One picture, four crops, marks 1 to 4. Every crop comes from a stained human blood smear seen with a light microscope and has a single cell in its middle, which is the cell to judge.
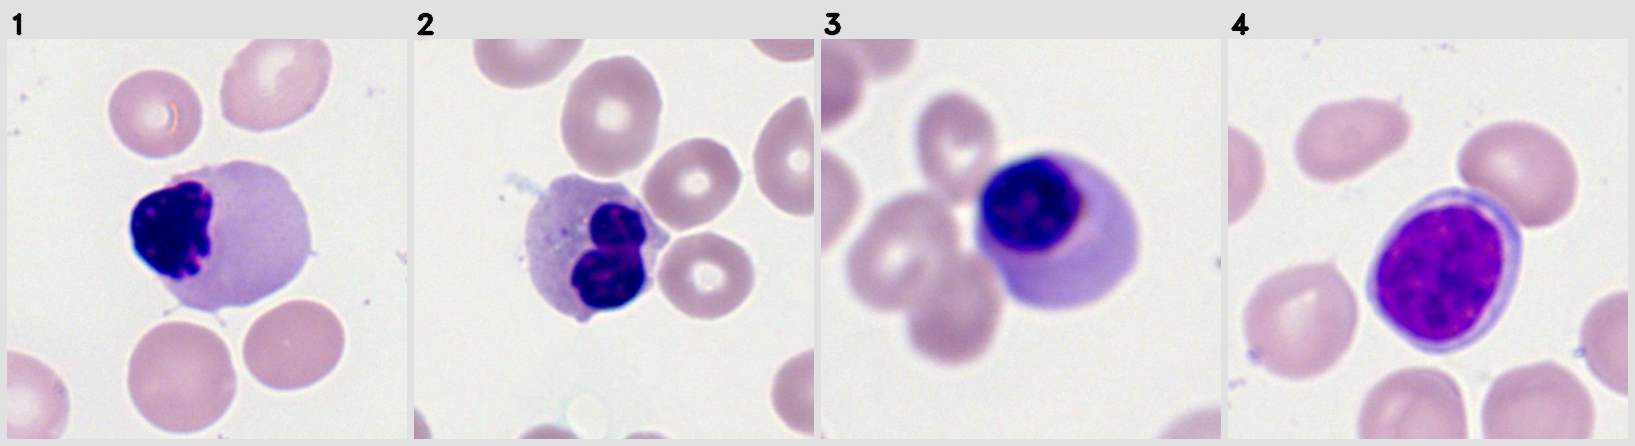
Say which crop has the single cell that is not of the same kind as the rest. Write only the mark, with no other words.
4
